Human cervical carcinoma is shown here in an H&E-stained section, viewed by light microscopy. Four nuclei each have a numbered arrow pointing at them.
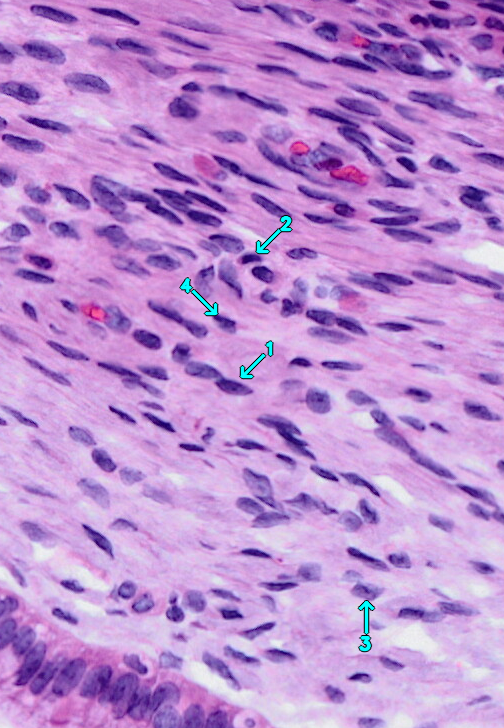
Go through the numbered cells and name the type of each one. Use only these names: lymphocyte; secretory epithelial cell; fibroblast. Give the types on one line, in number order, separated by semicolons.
fibroblast; lymphocyte; fibroblast; fibroblast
